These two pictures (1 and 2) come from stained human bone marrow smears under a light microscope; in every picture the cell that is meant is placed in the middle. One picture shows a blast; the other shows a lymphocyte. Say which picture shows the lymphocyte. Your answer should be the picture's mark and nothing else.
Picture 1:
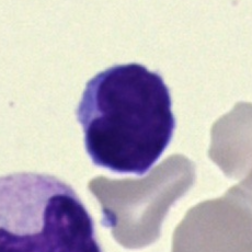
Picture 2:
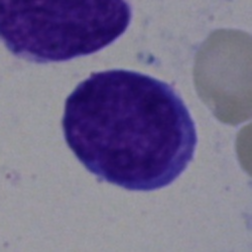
1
